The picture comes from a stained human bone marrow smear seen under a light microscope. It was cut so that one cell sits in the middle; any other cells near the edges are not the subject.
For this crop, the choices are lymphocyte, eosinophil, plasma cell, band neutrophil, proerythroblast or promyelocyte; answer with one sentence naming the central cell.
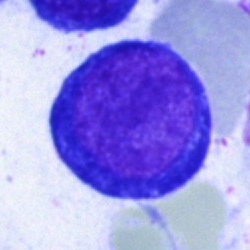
The cell in the middle of the field of view is a proerythroblast.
